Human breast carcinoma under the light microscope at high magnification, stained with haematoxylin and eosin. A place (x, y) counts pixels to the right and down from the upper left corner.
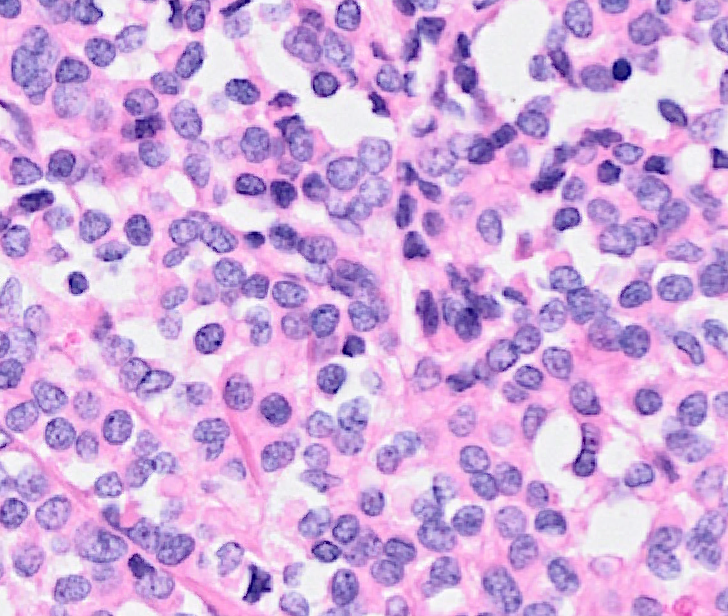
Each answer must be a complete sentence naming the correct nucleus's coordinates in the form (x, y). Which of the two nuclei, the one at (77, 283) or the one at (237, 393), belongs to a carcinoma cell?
So, of the two, the nucleus at (237, 393) is the one belonging to a carcinoma cell.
